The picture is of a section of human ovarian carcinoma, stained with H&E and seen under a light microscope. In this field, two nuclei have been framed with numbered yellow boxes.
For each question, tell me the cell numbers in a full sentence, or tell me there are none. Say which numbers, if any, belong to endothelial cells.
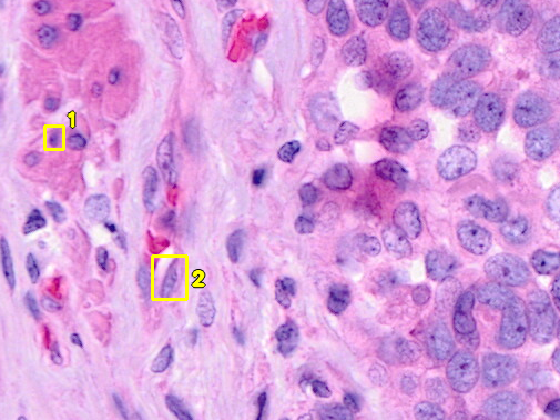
The nucleus labelled 2 alone belongs to an endothelial cell; the other marked nuclei do not.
